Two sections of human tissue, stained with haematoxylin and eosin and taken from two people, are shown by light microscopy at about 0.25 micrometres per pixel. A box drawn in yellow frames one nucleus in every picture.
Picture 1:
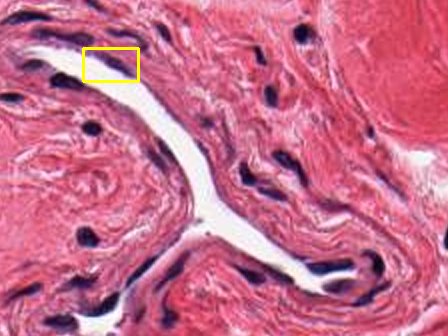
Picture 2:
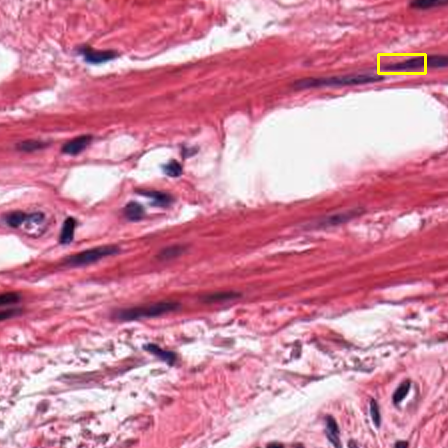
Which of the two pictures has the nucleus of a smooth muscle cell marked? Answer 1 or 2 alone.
2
